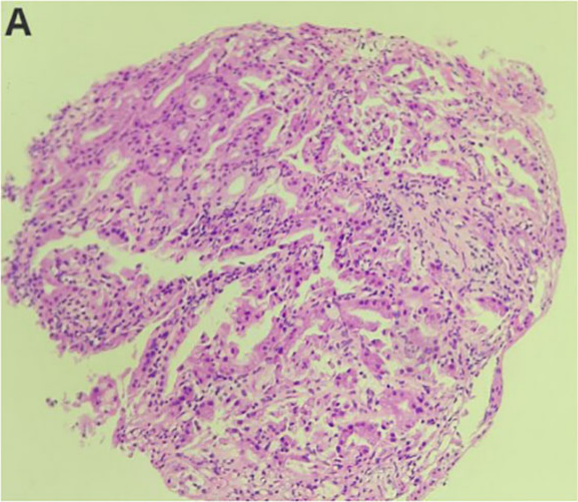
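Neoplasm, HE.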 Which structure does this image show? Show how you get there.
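Finger-like fronds of tissue separated by clear slit-like spaces. The fronds are covered by cells with pink cytoplasm. That points to this answer: papillary structures with fibrovascular cores.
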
